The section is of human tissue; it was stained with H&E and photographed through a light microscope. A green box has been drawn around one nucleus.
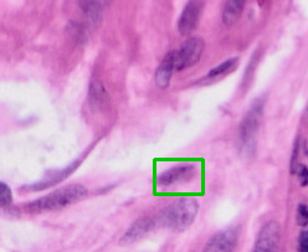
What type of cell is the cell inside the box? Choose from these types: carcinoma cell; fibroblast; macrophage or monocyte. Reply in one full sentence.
In this tissue sample, the cell inside the box is a fibroblast.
